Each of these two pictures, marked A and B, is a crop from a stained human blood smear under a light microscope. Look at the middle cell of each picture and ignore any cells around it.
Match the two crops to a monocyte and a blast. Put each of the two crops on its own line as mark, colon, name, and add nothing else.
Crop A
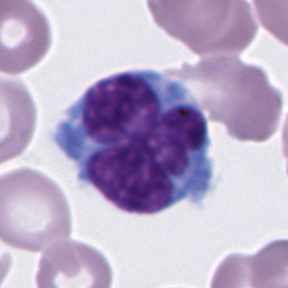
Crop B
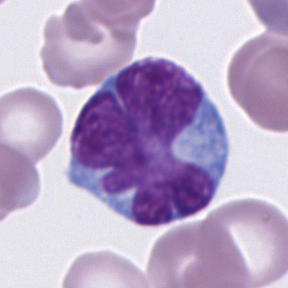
A: monocyte
B: blast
